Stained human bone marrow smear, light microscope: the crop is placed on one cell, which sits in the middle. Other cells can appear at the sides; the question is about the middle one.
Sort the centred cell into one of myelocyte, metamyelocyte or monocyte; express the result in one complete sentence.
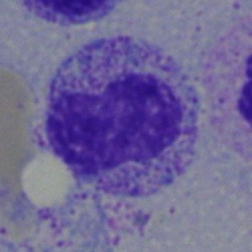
The cell at the centre of the field is a metamyelocyte.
